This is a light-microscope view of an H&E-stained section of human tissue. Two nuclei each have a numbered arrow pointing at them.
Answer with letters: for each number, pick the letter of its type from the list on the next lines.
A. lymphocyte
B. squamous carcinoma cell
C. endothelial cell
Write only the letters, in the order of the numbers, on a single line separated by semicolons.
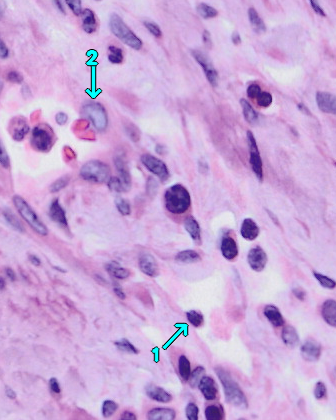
A; C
